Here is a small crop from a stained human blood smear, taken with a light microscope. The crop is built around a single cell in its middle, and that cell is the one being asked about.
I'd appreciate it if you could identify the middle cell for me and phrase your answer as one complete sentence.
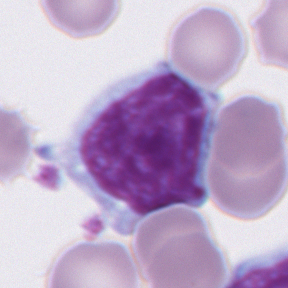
Classification of the middle cell gives a typical lymphocyte.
